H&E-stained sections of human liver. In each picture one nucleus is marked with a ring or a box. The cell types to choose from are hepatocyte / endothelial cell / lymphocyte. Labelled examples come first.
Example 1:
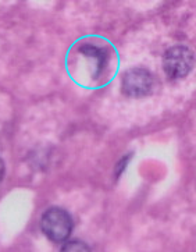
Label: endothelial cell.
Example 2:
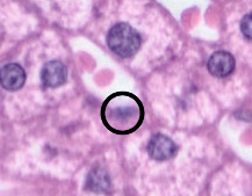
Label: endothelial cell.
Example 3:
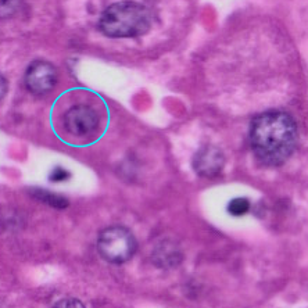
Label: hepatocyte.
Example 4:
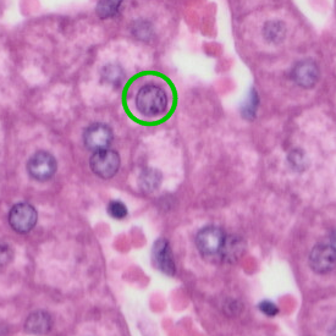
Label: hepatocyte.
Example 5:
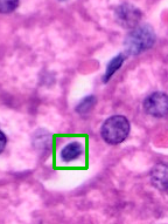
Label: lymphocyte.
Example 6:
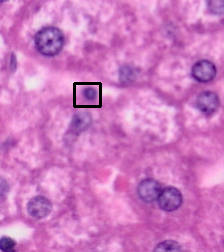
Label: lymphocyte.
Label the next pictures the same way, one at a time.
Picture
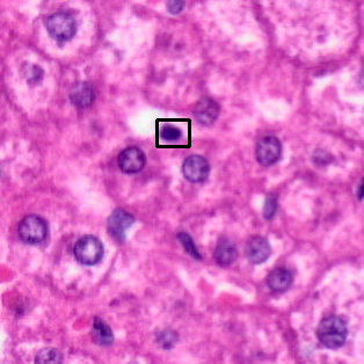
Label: lymphocyte.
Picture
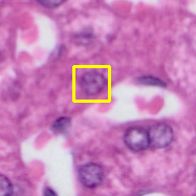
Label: hepatocyte.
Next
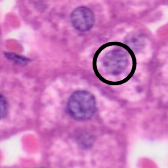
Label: hepatocyte.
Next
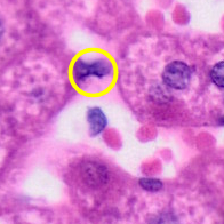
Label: endothelial cell.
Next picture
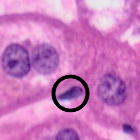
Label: endothelial cell.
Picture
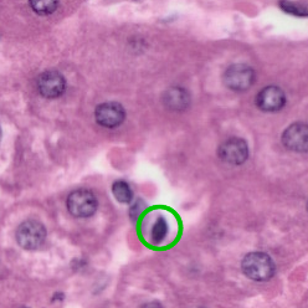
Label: lymphocyte.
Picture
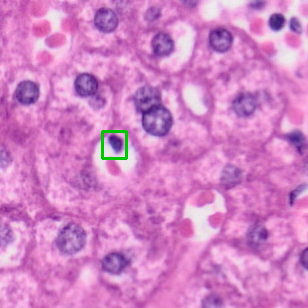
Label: lymphocyte.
